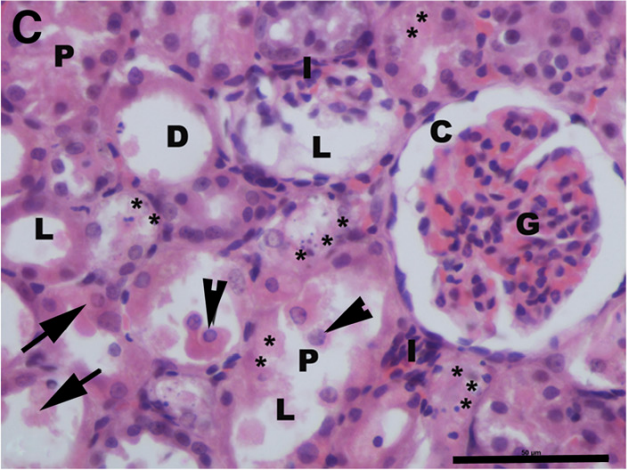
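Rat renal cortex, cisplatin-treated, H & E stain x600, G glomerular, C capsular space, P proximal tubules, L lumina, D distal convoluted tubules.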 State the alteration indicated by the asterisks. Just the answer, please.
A: degenerated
